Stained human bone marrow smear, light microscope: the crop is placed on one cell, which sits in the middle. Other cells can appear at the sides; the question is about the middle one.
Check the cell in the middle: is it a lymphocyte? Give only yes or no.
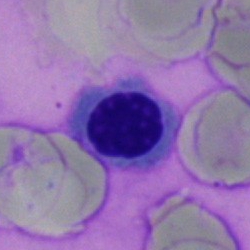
no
